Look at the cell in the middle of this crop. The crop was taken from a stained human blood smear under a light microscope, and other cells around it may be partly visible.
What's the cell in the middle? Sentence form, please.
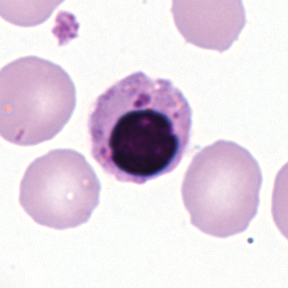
Answering briefly, the cell in the middle is a normoblast.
